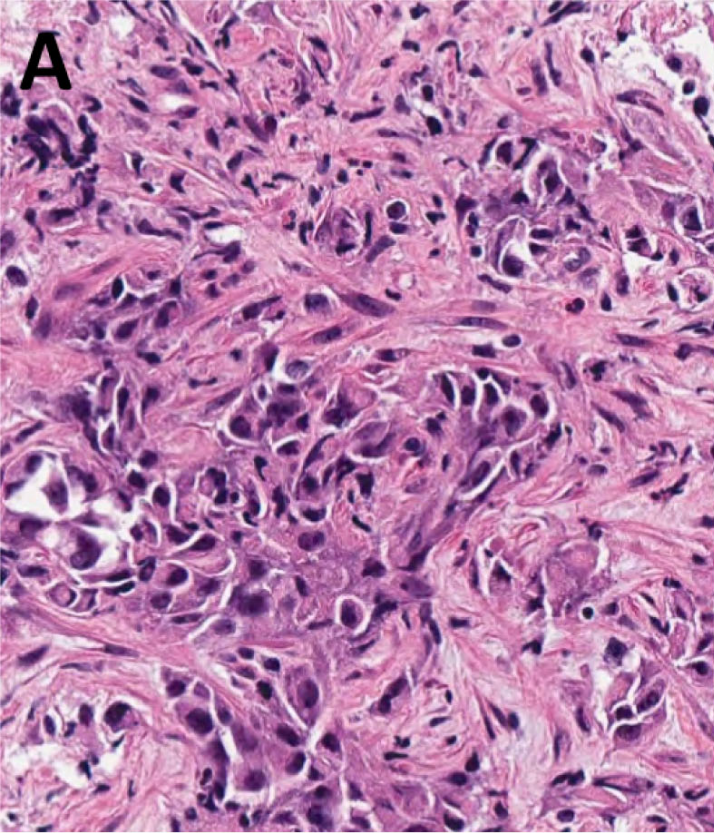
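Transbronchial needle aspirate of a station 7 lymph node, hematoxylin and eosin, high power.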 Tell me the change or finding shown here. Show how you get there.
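Clusters and nests of large cells with enlarged, dark, irregular nuclei. The nuclei vary in size and shape. The cell nests lie within pink fibrous stroma. The answer: carcinoma.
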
